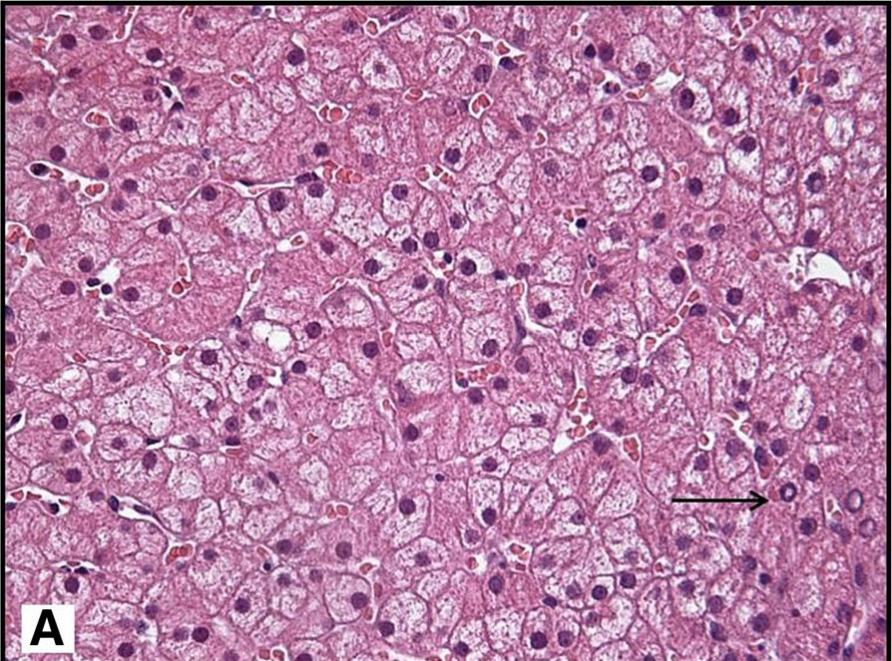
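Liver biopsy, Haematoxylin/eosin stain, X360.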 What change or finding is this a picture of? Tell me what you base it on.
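Large polygonal cells with distinct cell borders fill the field. The cytoplasm is pale, wispy and partly clear rather than evenly pink. The sinusoids between the cells look narrow.
Conclusion: swollen hepatocytes with pale, clear-staining cytoplasm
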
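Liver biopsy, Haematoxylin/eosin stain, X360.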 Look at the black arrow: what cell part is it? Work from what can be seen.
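Glycogenated nuclei. The arrow points to a round nucleus with a pale, empty-looking centre and a dark rim. Most other nuclei in the field are solid and dark.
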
